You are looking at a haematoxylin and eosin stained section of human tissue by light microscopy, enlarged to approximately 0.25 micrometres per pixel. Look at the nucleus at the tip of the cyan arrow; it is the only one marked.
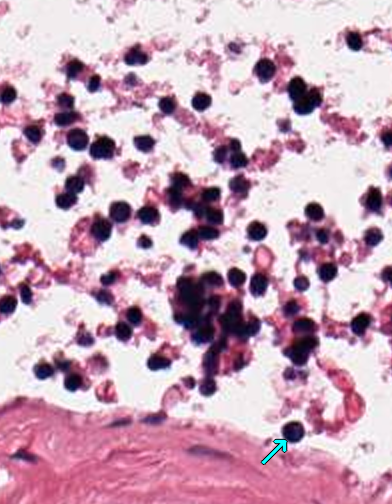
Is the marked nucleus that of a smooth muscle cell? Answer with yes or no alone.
no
